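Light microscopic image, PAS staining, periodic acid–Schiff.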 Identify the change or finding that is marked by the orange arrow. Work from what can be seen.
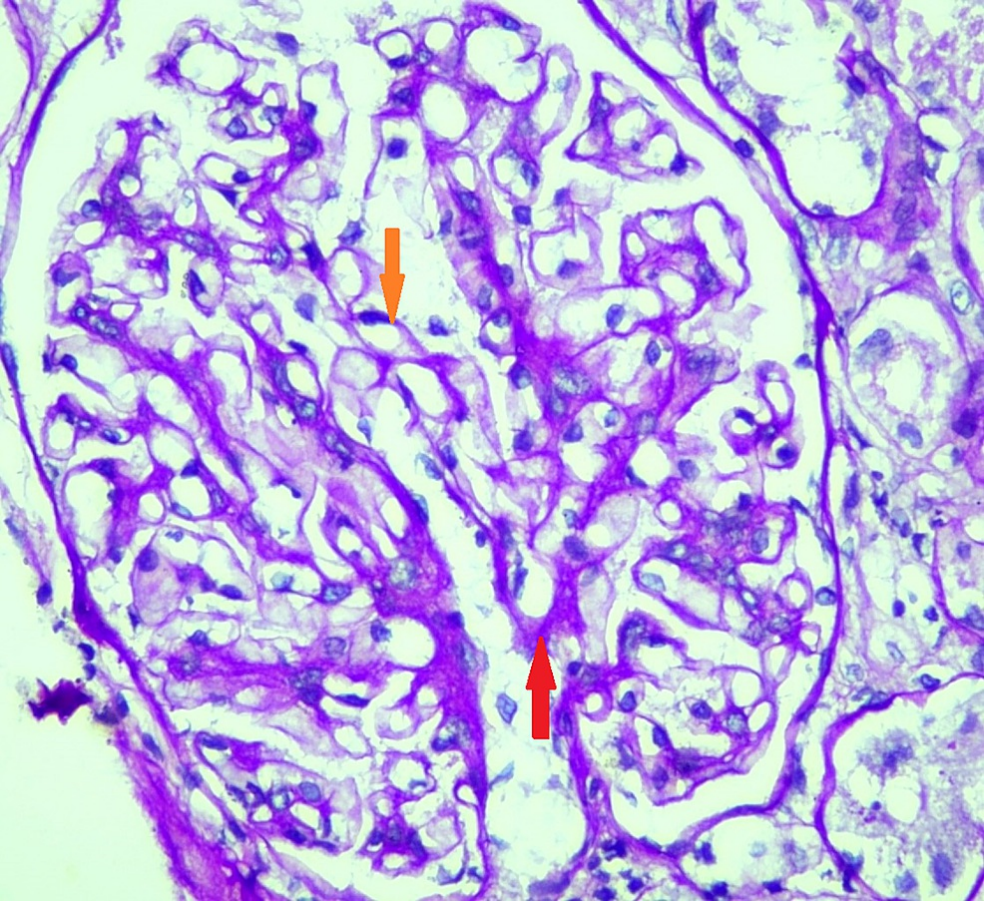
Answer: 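Thickened glomerular basement membrane. The orange arrow points to a magenta capillary loop wall. The capillary loop walls stand out as distinct, dark magenta outlines around open lumens.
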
